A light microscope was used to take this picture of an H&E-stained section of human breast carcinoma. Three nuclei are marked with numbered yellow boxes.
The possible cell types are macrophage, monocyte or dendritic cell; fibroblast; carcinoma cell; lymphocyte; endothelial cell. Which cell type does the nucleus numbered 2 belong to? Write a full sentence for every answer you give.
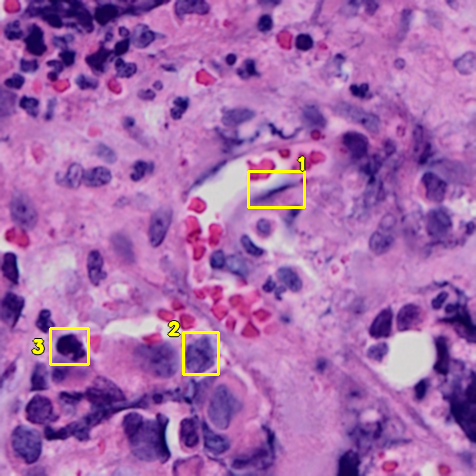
Here, the cell given the number 2 is a carcinoma cell.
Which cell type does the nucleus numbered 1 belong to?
Cell 1, as marked in the section, is an endothelial cell.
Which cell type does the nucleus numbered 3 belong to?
Corresponding to a carcinoma cell is the cell labelled 3.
